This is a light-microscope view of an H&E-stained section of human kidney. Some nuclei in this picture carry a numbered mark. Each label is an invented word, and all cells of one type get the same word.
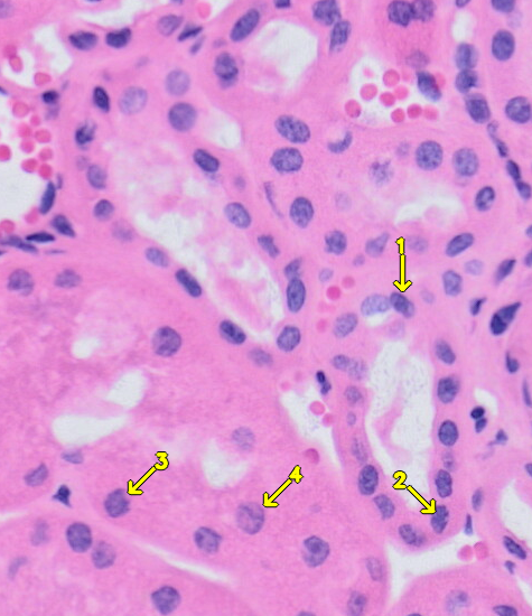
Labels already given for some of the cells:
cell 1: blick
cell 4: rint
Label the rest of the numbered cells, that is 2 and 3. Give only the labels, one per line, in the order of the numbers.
blick
rint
